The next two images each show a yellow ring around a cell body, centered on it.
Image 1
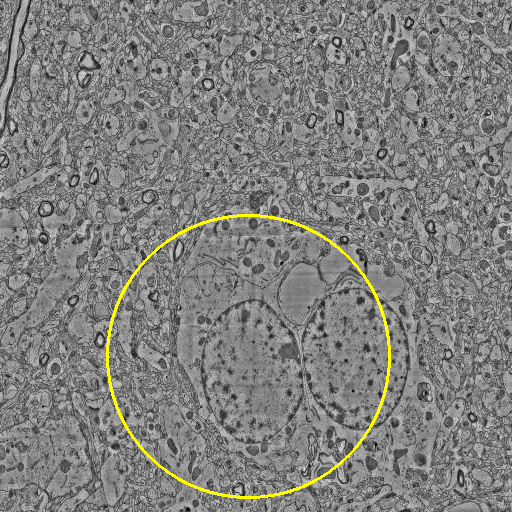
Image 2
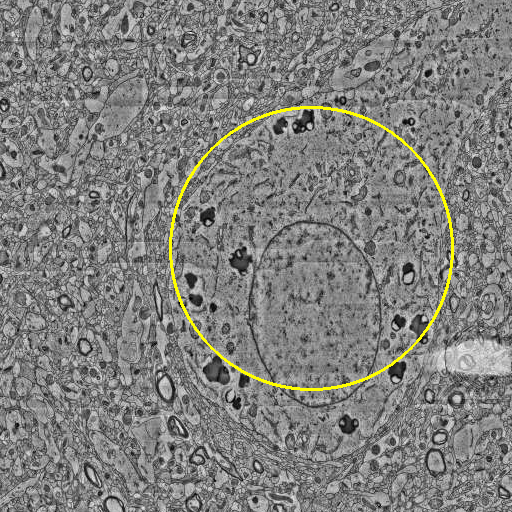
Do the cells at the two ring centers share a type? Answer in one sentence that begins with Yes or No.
No, across the two images the cells at the ring centers are of two types.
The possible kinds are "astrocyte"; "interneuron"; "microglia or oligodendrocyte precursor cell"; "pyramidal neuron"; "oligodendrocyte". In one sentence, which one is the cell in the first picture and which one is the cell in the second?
The cell ringed in the second picture is a pyramidal neuron, whereas the one ringed in the first is an astrocyte.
